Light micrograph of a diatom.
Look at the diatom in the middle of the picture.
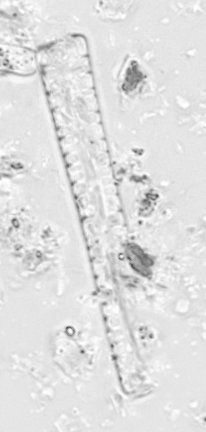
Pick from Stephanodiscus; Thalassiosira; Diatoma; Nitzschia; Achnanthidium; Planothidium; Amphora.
Diatoma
